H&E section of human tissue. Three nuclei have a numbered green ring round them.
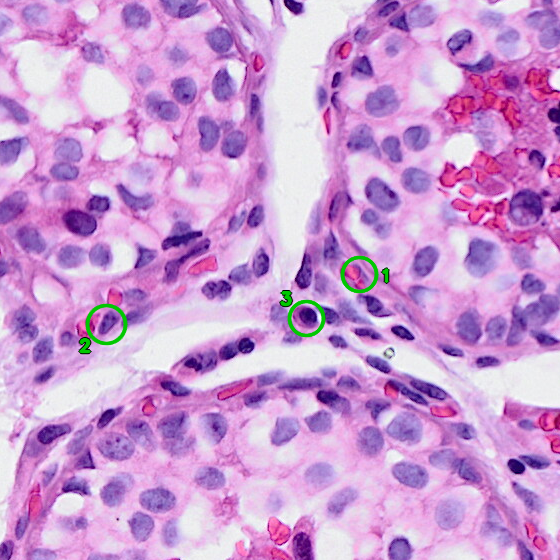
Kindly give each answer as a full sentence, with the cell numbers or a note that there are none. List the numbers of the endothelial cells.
The numbers 1 and 2 refer to cells that are endothelial cells.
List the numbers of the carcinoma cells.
Zero of the numbered cells are carcinoma cells.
